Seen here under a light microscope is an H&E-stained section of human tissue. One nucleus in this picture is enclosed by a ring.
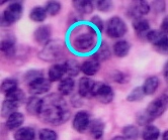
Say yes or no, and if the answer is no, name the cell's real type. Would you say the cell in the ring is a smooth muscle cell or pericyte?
No, it is a small lymphocyte.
